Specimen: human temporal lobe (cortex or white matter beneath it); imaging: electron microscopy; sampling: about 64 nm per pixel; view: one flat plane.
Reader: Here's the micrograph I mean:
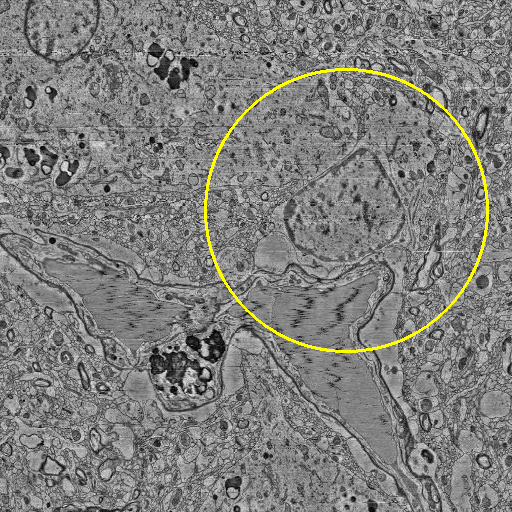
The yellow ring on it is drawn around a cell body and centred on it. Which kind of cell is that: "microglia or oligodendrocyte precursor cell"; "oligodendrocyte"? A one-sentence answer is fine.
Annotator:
The ring is centred on a microglial cell or oligodendrocyte precursor cell.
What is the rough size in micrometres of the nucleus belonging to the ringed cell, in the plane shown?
The nucleus is about 7 micrometres across in this plane.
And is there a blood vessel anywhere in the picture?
Yes.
